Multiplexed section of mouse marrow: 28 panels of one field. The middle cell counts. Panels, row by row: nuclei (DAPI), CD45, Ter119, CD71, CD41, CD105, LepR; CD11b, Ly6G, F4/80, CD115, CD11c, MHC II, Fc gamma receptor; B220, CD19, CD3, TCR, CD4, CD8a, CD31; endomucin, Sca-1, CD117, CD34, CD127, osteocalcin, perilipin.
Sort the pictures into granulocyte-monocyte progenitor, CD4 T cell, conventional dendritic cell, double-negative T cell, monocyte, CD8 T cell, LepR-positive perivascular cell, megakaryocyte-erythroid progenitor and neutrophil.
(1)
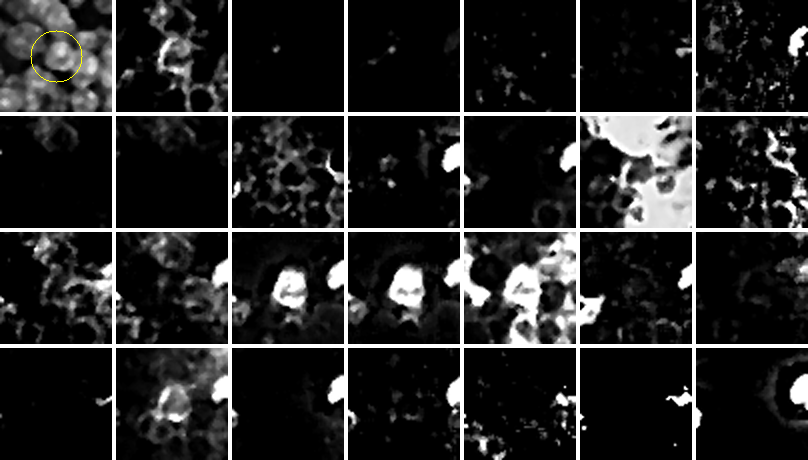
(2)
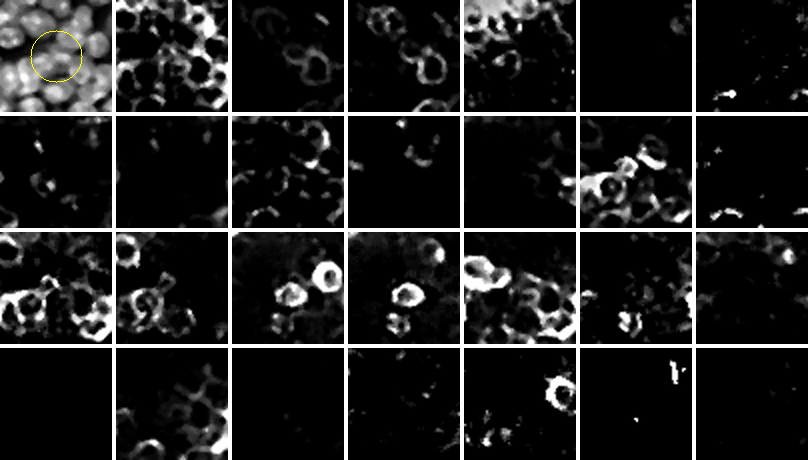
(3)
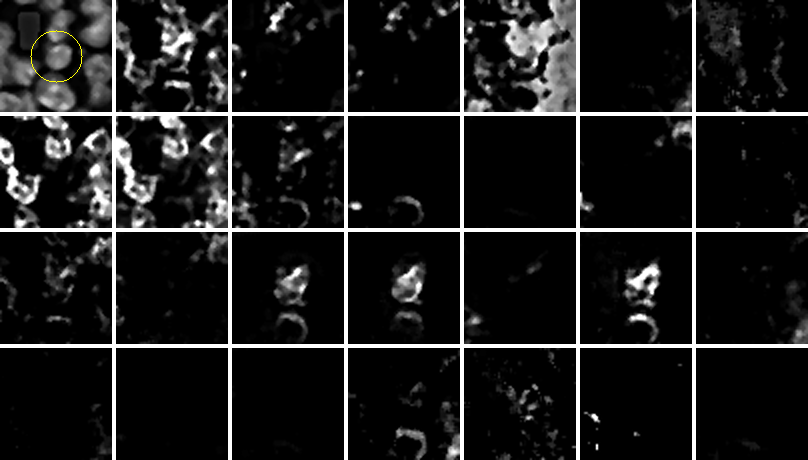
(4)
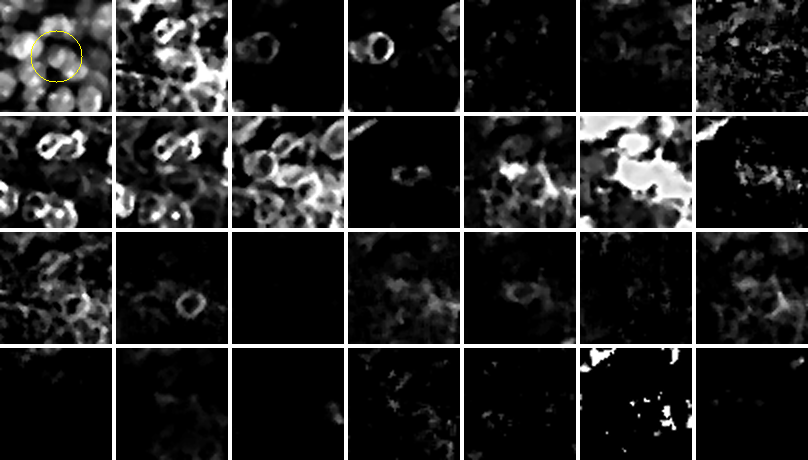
CD4 T cells: 1, 2
CD8 T cells: 3
Conventional dendritic cells: 4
